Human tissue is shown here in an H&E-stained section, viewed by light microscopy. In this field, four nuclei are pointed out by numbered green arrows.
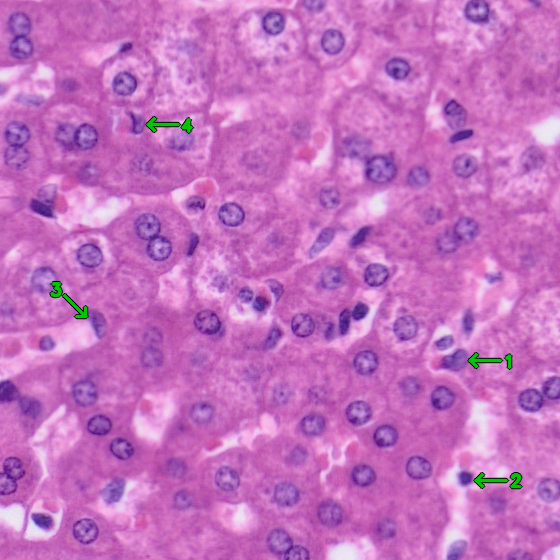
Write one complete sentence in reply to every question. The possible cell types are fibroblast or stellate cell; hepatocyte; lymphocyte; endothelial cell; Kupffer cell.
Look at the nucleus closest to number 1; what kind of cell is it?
Number 1 lies closest to the nucleus of a lymphocyte.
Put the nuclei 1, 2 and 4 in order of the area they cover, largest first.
By area, largest first, they run 1, 4, 2.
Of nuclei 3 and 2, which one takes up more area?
Number 3 is larger; its area is about 1.5 times that of number 2.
